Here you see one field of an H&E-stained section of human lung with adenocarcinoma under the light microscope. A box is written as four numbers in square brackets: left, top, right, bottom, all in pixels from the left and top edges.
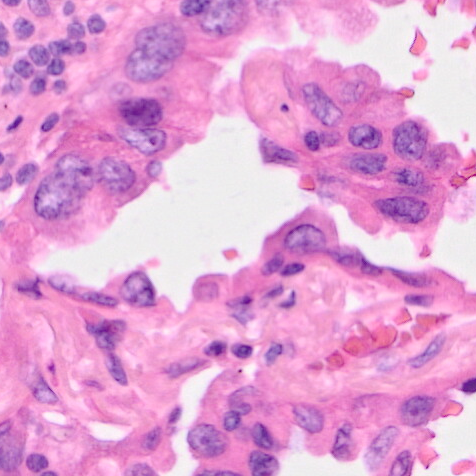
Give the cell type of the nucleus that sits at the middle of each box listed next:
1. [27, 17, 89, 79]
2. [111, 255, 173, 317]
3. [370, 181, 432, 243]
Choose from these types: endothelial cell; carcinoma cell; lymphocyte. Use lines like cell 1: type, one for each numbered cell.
cell 1: lymphocyte
cell 2: carcinoma cell
cell 3: carcinoma cell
